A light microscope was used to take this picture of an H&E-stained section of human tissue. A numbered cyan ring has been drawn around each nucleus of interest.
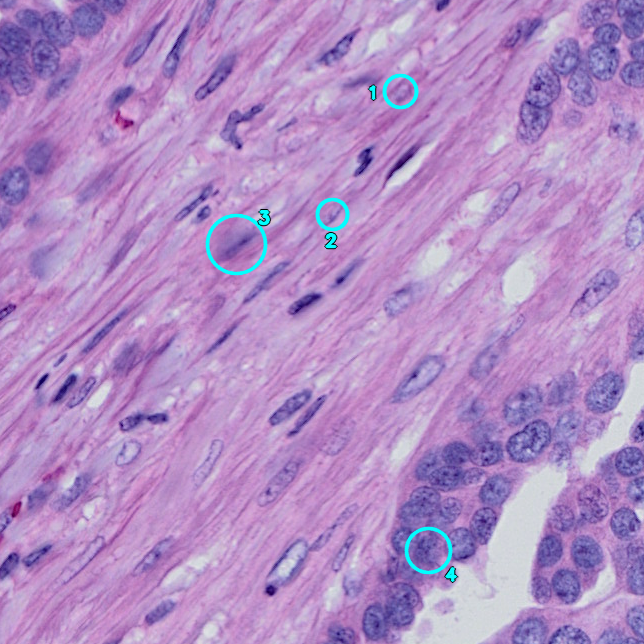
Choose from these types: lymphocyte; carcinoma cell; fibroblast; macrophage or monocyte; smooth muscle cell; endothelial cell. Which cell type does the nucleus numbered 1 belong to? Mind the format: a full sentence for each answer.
The marked cell bearing number 1 is a fibroblast.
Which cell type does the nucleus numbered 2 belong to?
The cell tagged with 2 in this tissue section is a fibroblast.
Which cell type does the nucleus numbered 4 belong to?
Within this field of view, the cell labelled 4 is a carcinoma cell.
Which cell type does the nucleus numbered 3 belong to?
The one numbered 3 among the marked cells is a fibroblast.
